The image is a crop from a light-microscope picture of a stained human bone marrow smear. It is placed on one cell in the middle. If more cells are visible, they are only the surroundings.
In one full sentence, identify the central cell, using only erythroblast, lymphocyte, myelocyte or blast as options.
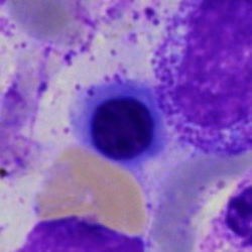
The centered cell in this crop is an erythroblast.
